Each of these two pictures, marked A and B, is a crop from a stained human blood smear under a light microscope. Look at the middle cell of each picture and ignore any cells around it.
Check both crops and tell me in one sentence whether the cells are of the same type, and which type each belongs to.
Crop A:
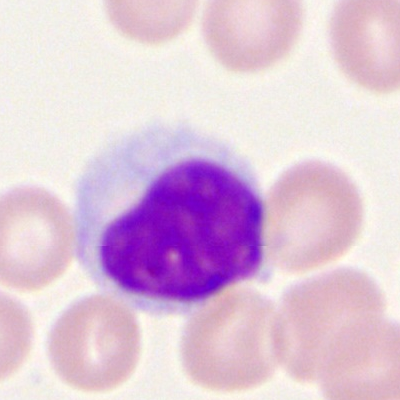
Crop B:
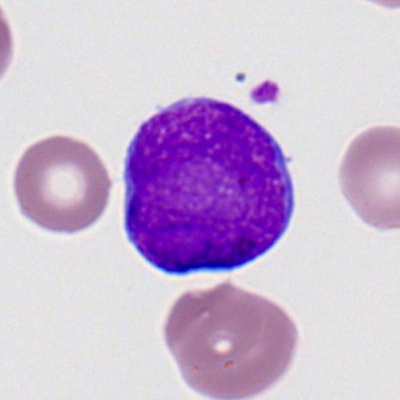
No, a lymphocyte is in crop A, while a myeloblast is in crop B.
